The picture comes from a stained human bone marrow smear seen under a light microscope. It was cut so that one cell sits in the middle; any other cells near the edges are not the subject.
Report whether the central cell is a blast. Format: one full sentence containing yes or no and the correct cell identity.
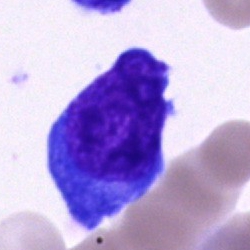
Yes, the cell positioned in the middle is a blast.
